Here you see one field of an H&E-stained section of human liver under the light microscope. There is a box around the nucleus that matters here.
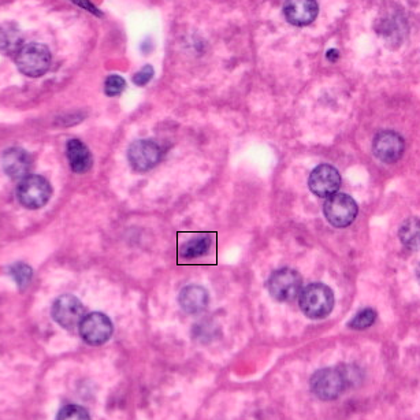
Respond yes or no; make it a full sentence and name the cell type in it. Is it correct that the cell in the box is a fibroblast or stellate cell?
Yes, it is accurate to say that the cell in the box is a fibroblast or stellate cell.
